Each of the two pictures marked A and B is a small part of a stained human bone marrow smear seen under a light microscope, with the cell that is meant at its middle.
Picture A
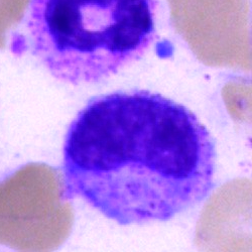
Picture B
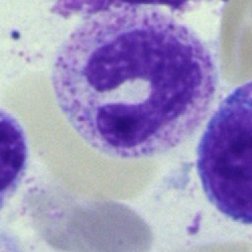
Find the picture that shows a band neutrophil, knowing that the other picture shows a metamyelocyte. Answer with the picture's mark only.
B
